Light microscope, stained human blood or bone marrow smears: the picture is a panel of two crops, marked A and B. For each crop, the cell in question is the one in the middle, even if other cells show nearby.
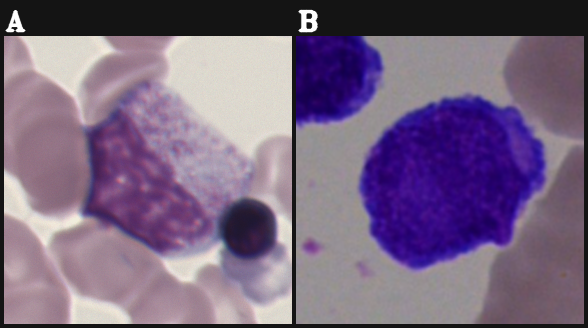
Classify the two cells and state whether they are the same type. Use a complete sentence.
No, the labels go like this: crop A is a promyelocyte and crop B is a blast.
